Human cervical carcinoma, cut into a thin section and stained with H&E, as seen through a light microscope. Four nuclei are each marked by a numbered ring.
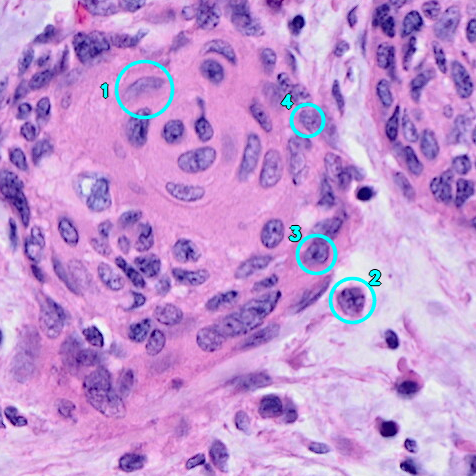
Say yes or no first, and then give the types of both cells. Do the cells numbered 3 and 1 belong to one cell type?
Yes, the numbered cells 3 and 1 are both squamous carcinoma cells.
